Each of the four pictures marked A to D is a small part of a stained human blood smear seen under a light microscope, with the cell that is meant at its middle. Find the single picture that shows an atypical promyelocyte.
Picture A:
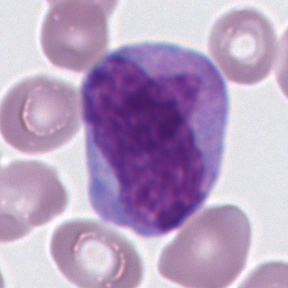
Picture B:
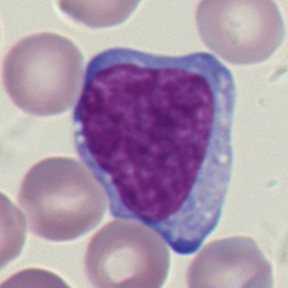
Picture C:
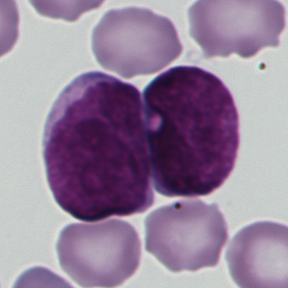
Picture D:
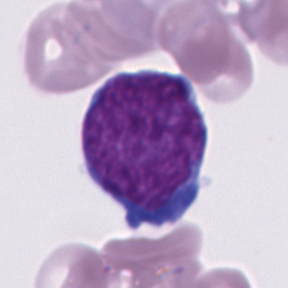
A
